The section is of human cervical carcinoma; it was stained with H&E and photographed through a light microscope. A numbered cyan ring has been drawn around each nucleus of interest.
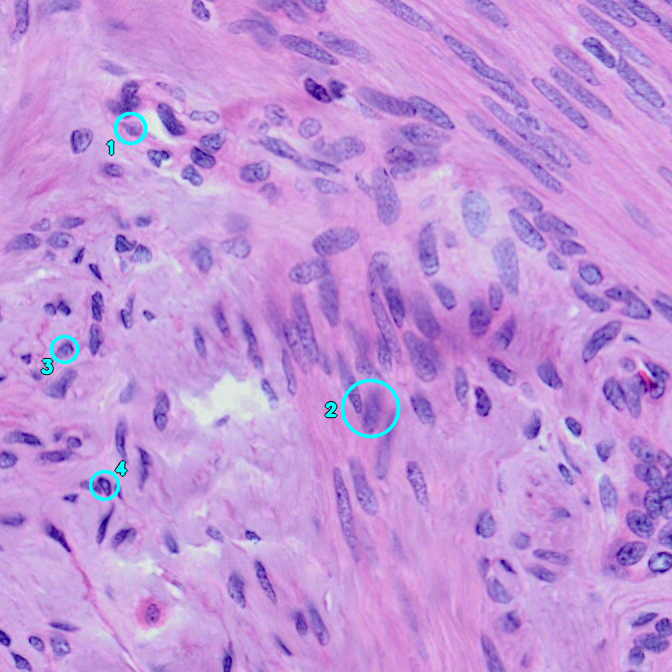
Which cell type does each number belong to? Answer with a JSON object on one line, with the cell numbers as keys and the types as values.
{"1": "endothelial cell", "2": "fibroblast", "3": "smooth muscle cell", "4": "fibroblast"}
